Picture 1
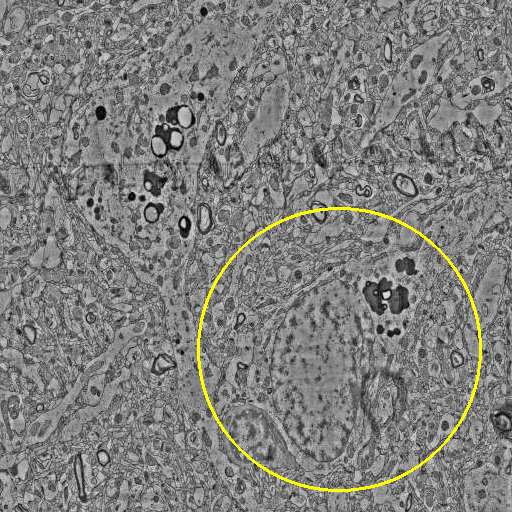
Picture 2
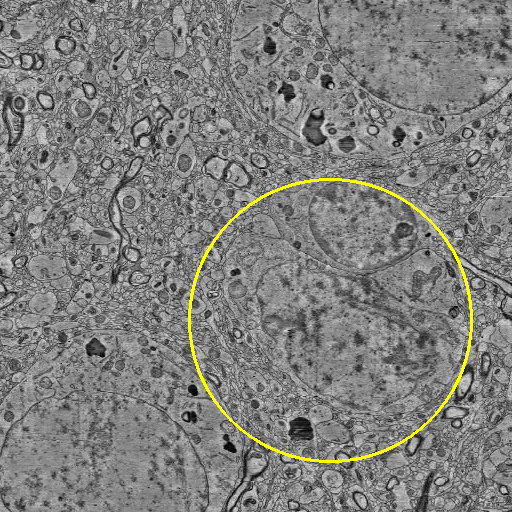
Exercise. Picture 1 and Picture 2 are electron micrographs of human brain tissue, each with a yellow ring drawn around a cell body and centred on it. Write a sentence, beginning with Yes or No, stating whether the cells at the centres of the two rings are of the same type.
Yes, the cells at the centres of both rings are of the same type.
